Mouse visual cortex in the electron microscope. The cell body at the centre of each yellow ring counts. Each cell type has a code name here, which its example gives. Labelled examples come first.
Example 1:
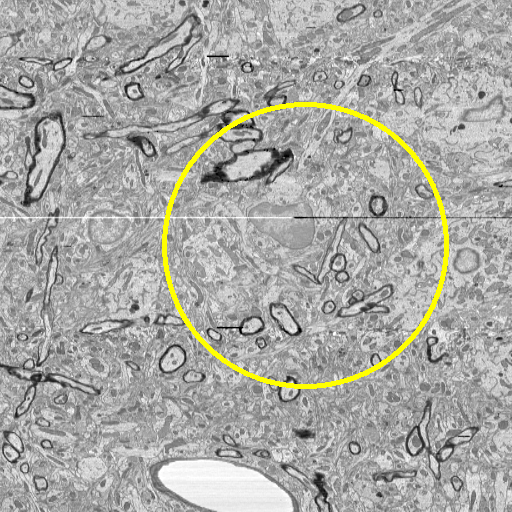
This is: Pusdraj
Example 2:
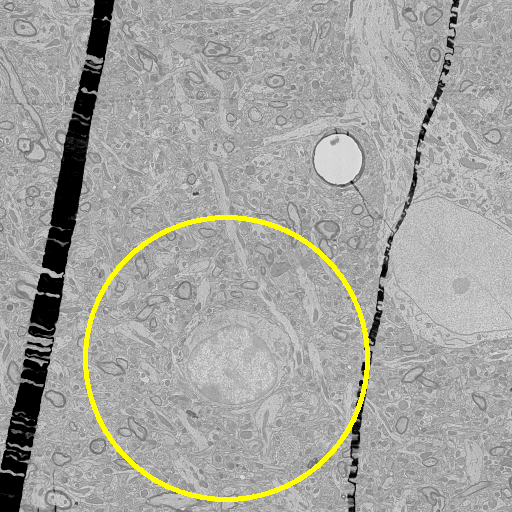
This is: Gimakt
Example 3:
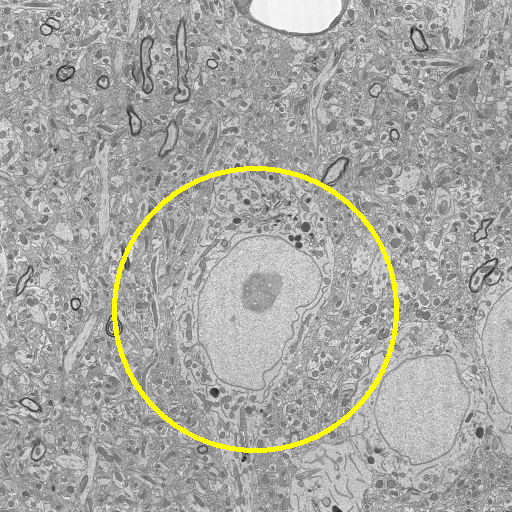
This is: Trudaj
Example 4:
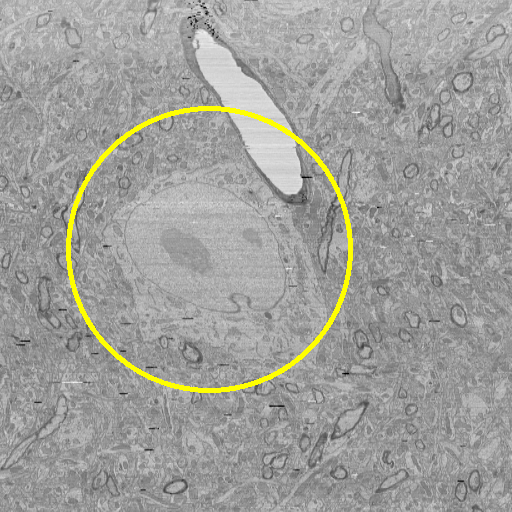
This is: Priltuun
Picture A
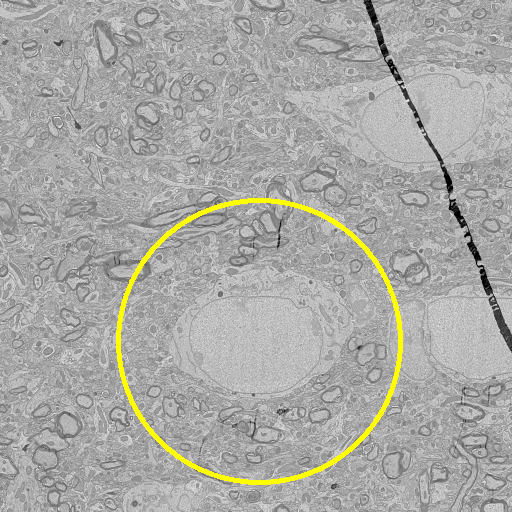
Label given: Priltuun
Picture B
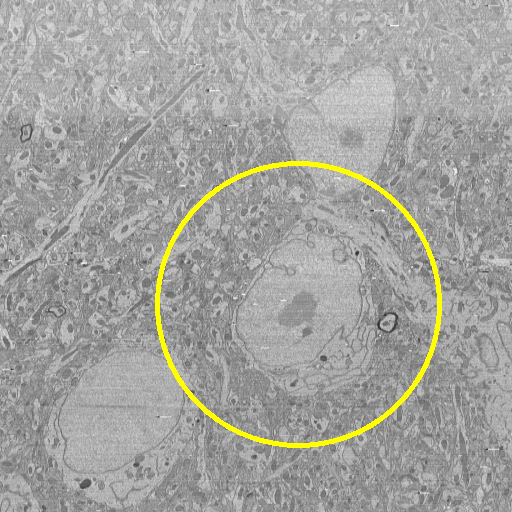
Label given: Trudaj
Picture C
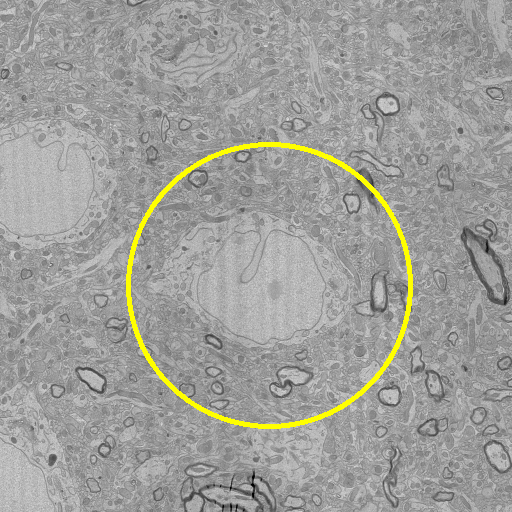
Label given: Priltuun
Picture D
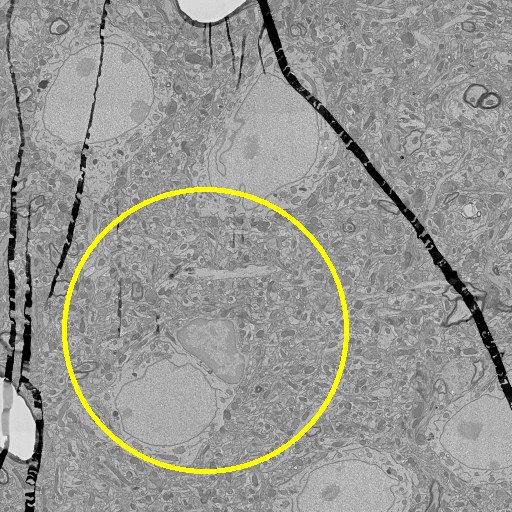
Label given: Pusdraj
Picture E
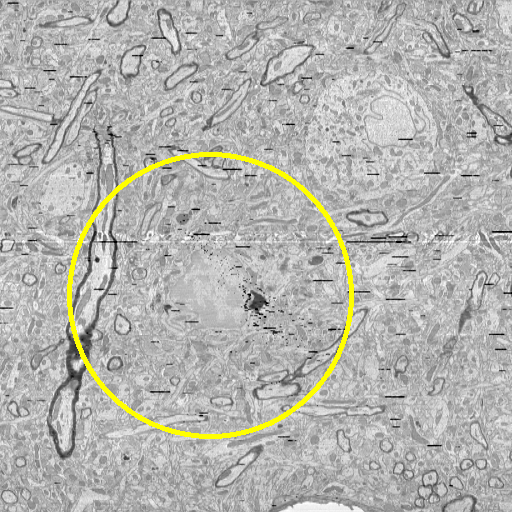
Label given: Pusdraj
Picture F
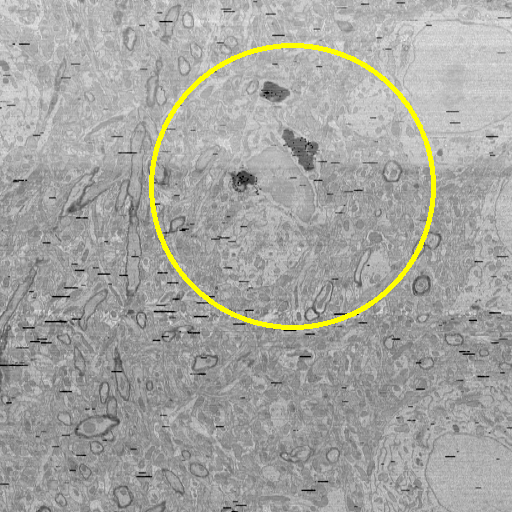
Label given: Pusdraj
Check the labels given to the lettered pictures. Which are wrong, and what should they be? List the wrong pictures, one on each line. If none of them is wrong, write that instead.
Nothing to fix; every label fits.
